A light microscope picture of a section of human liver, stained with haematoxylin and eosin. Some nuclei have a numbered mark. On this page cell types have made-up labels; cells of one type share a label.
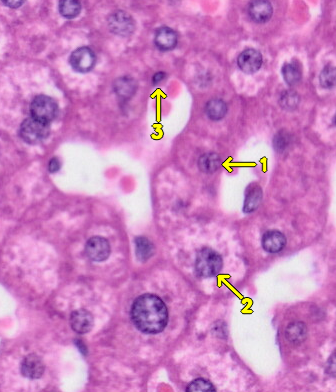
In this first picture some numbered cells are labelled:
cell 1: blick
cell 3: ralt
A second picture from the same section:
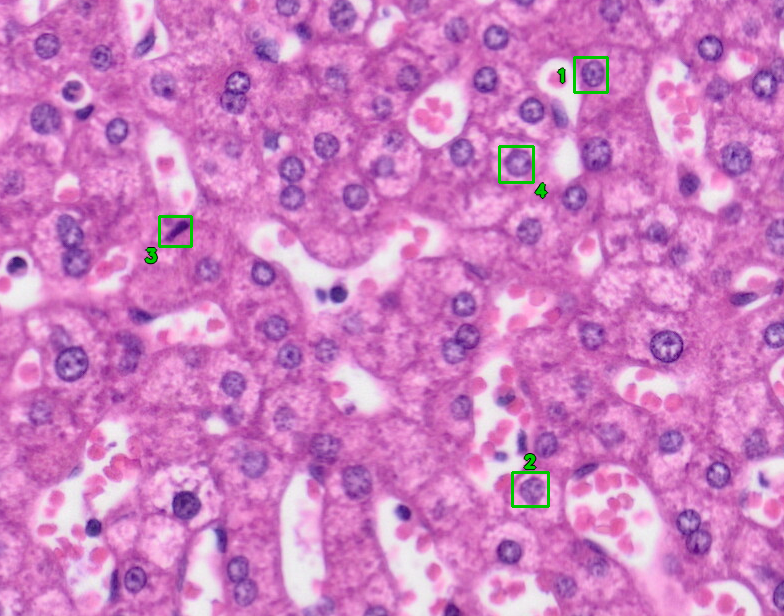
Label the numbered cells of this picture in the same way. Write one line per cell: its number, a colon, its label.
1: blick
2: blick
3: ralt
4: blick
